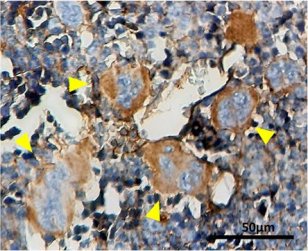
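This is a section of bone marrow packed with small round cells with dark blue nuclei. Scattered among them are several much larger cells with abundant cytoplasm stained brown. Each of these large cells holds a big pale blue nucleus that looks lobed or made of several parts. A few clear spaces lie between the cells.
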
